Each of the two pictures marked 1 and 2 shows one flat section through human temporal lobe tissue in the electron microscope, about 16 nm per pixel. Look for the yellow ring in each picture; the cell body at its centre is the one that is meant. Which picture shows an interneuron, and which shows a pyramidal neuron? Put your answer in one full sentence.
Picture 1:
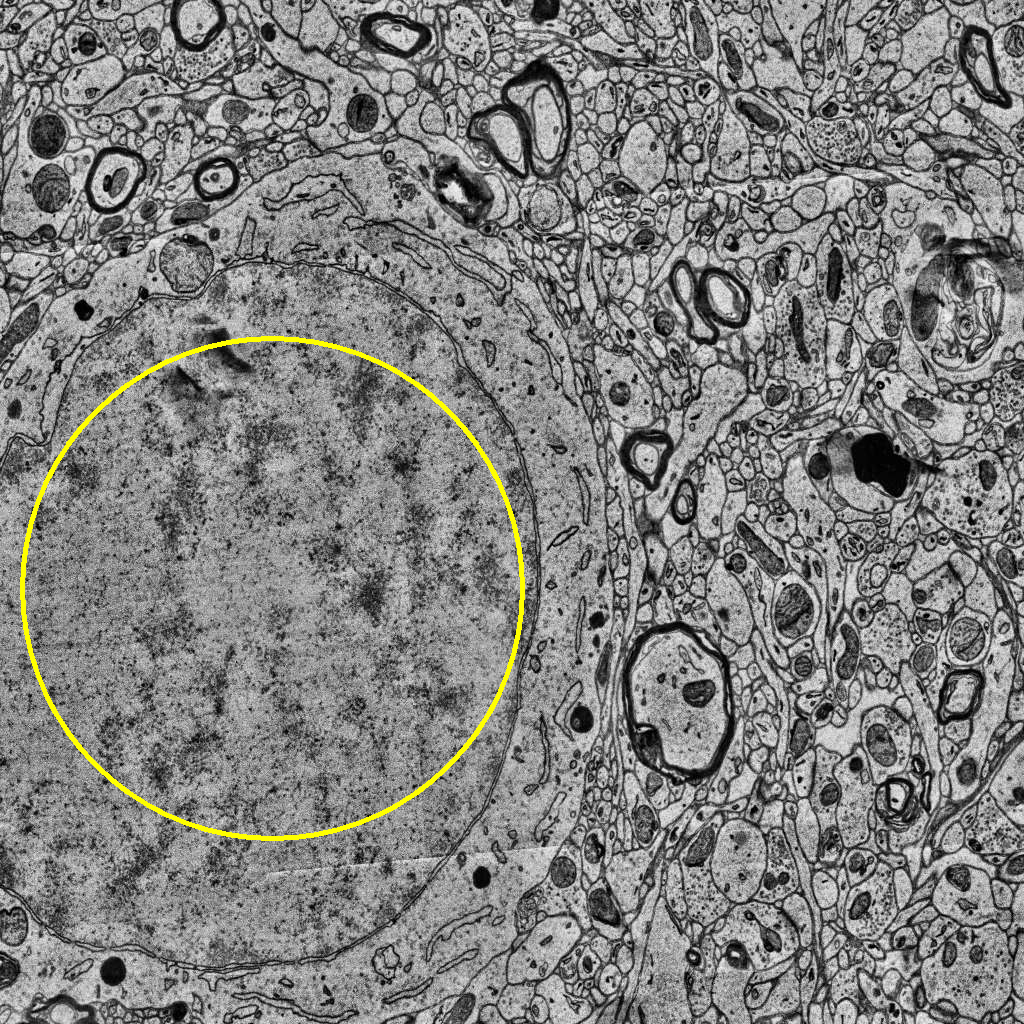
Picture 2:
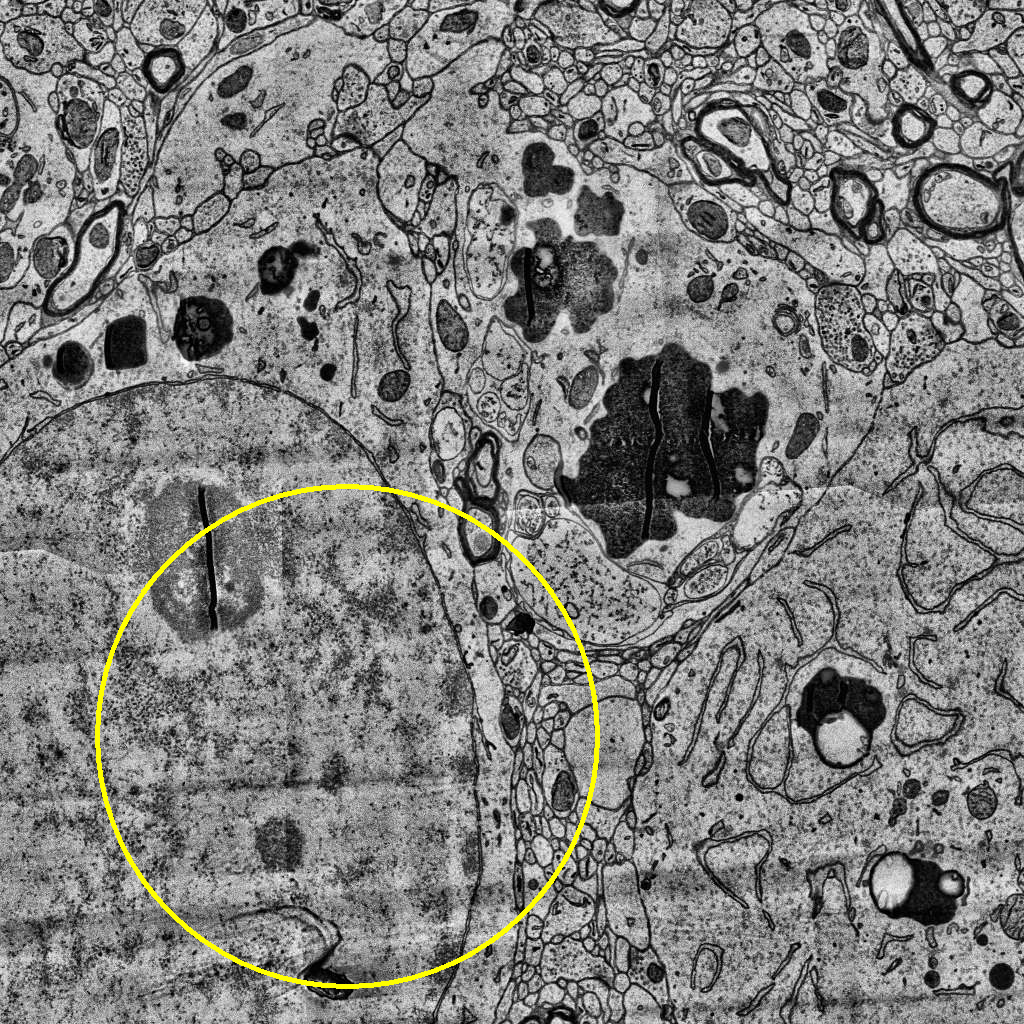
Picture 2 shows a pyramidal neuron, while picture 1 shows an interneuron.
